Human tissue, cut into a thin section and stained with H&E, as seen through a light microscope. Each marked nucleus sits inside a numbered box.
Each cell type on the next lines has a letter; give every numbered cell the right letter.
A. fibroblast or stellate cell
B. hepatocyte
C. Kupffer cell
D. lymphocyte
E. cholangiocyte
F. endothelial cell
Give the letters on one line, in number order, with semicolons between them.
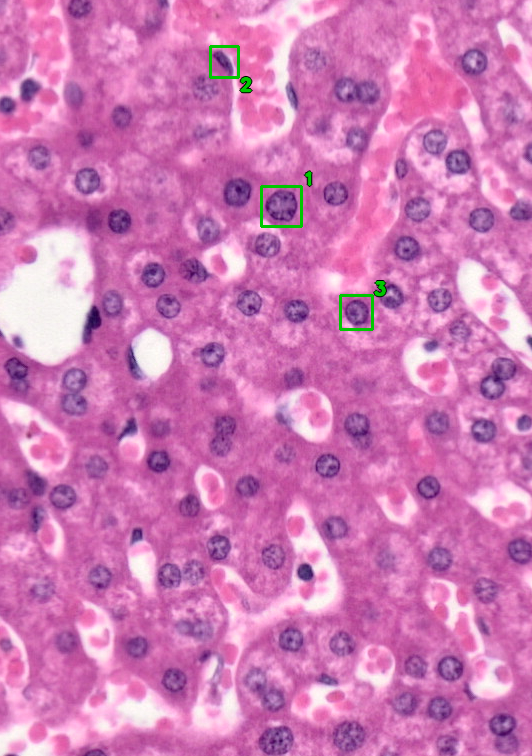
B; F; B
